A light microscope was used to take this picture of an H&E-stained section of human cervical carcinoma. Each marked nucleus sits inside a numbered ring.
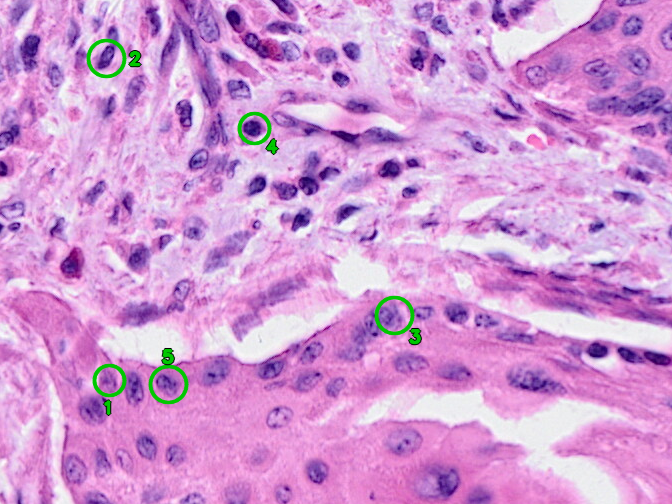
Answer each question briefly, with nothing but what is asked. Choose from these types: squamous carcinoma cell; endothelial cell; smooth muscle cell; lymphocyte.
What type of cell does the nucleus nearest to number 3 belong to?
squamous carcinoma cell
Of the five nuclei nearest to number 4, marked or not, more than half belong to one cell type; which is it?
endothelial cell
